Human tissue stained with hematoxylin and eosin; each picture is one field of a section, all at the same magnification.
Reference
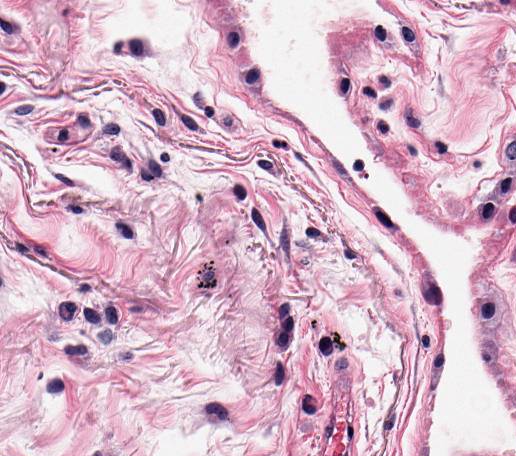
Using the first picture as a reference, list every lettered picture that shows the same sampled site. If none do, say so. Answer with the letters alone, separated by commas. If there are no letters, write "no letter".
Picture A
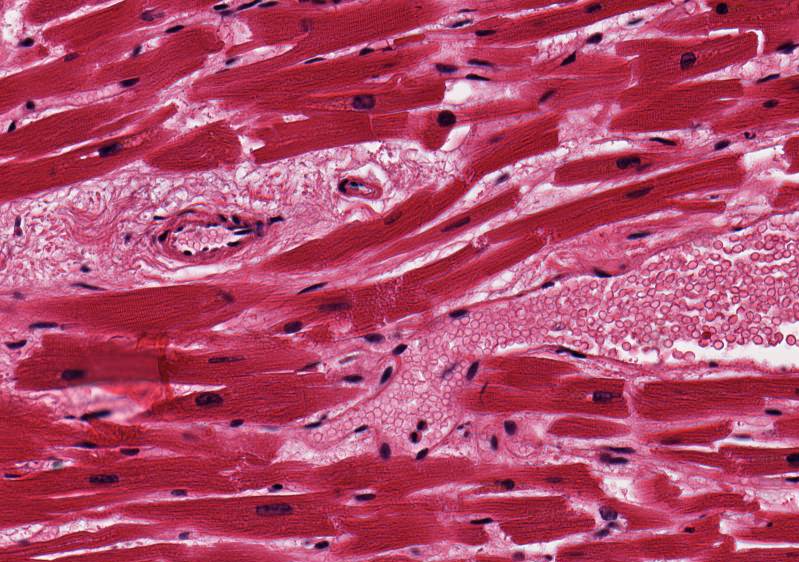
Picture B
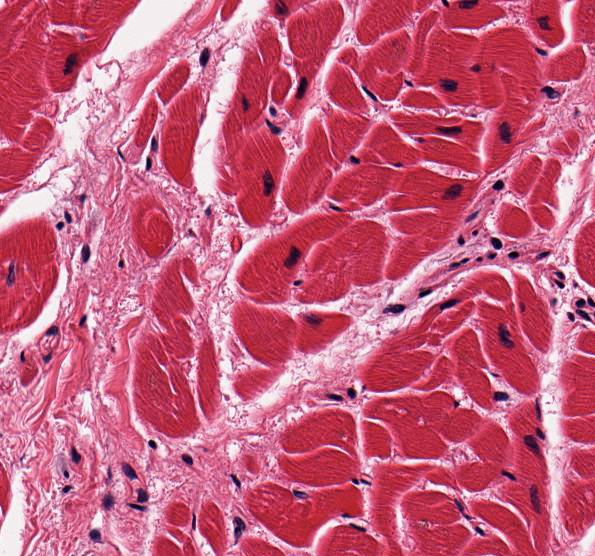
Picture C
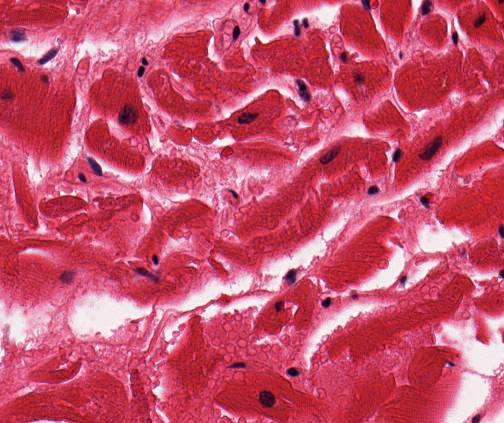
no letter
